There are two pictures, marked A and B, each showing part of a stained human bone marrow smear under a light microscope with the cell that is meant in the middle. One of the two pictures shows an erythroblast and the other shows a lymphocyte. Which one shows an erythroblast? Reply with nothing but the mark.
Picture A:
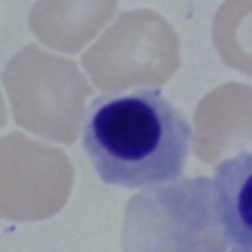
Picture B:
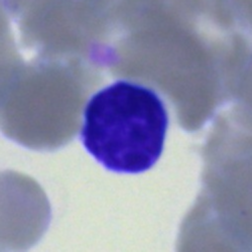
A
